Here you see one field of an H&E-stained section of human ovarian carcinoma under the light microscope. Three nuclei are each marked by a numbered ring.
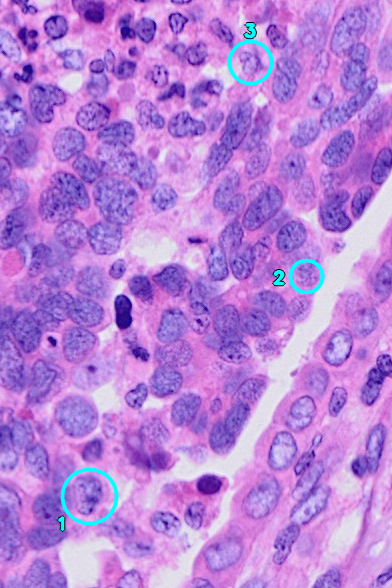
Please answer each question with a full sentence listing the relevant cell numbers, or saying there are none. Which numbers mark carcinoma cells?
Of the cells carrying numbers, just cell 2 is a carcinoma cell.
